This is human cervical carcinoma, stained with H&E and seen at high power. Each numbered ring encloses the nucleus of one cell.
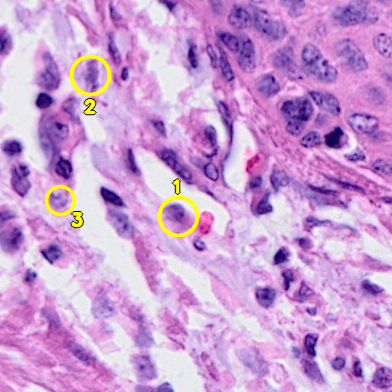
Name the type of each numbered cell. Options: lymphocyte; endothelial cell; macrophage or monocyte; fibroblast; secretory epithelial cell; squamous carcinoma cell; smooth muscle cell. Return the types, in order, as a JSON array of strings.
["endothelial cell", "fibroblast", "macrophage or monocyte"]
